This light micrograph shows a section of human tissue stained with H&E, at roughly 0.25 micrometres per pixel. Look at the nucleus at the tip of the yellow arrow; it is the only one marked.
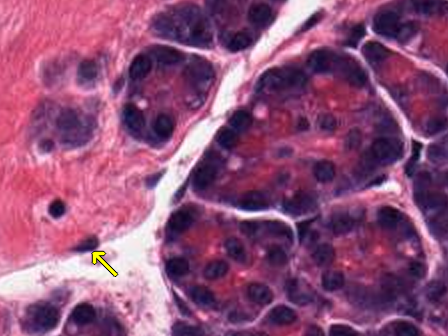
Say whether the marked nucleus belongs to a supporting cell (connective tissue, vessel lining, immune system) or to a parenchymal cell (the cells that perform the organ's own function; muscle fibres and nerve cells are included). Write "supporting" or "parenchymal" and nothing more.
supporting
